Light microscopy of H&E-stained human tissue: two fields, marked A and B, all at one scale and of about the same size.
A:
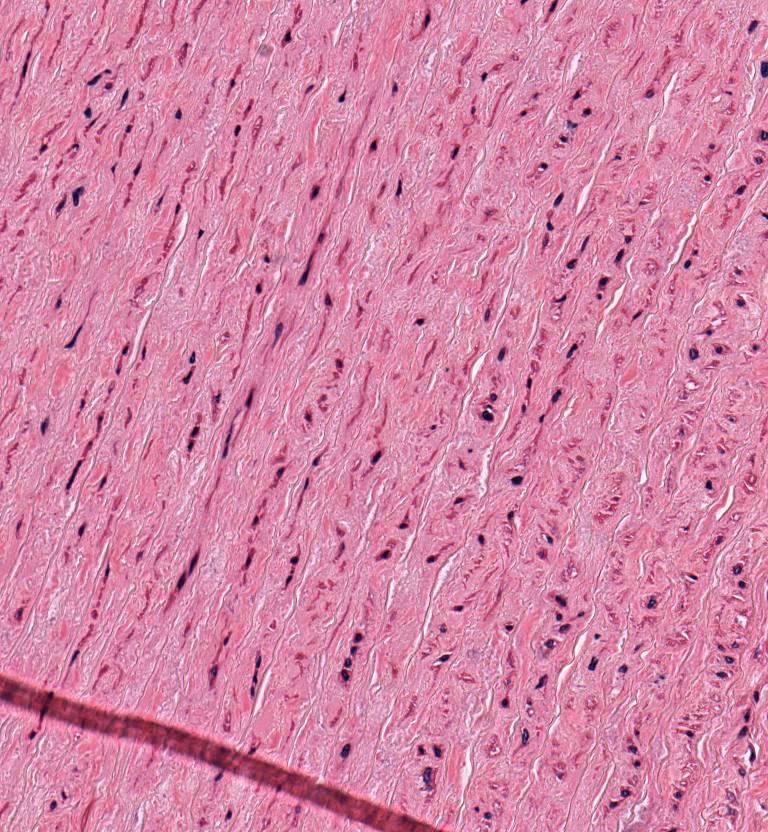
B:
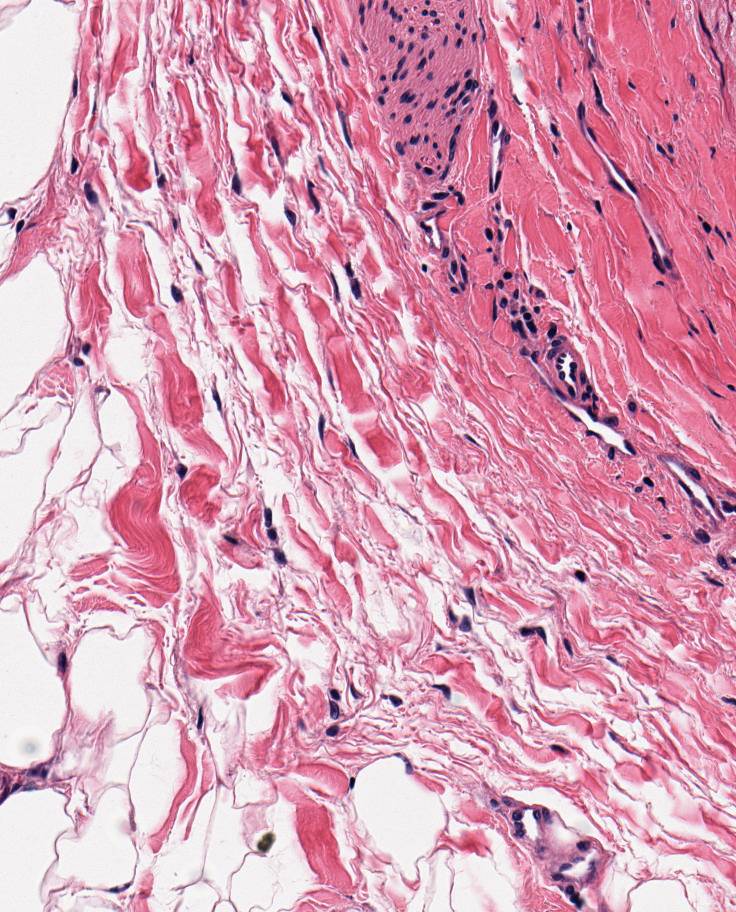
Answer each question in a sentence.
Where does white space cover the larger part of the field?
Field B has more white space.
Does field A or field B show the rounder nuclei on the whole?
Rounder nuclei lie in field A.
